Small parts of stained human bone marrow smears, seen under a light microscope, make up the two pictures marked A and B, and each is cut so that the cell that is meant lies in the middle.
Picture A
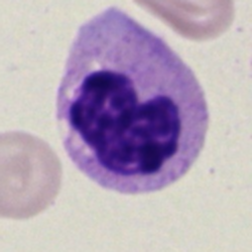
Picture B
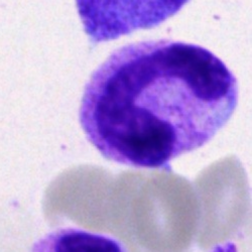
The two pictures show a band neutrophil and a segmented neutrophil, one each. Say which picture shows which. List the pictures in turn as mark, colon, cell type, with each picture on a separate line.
A: segmented neutrophil
B: band neutrophil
